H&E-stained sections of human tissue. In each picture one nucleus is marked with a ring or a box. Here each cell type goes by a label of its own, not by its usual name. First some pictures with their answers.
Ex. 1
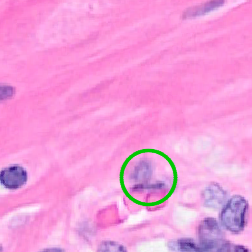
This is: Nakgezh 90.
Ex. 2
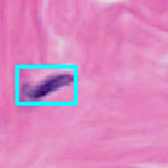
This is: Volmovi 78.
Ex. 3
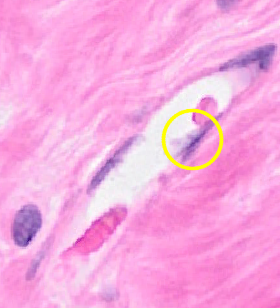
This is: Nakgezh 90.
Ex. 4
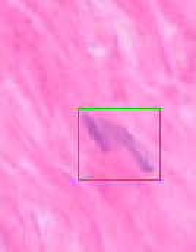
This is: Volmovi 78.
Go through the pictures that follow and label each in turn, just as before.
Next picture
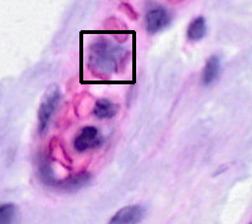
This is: Nakgezh 90.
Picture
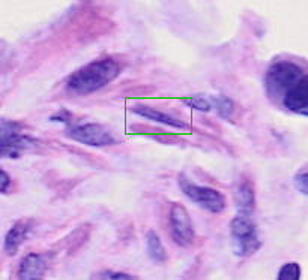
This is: Volmovi 78.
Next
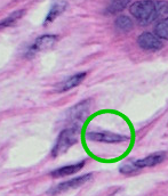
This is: Volmovi 78.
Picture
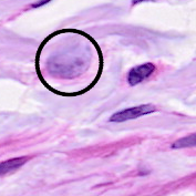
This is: Volmovi 78.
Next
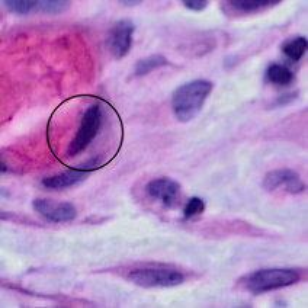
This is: Nakgezh 90.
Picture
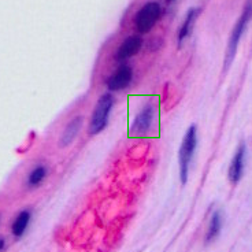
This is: Nakgezh 90.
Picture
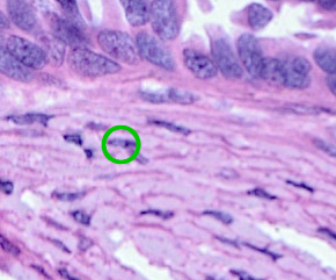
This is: Volmovi 78.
